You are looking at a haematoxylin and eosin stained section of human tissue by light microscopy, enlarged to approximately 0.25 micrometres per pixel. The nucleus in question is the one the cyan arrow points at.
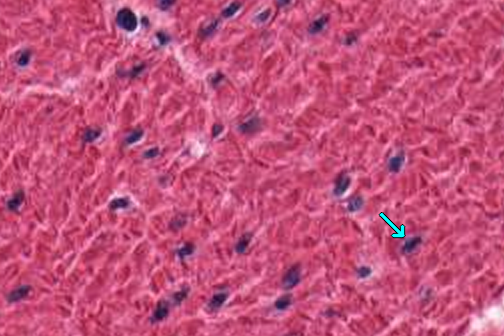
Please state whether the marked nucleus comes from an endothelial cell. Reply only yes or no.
no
